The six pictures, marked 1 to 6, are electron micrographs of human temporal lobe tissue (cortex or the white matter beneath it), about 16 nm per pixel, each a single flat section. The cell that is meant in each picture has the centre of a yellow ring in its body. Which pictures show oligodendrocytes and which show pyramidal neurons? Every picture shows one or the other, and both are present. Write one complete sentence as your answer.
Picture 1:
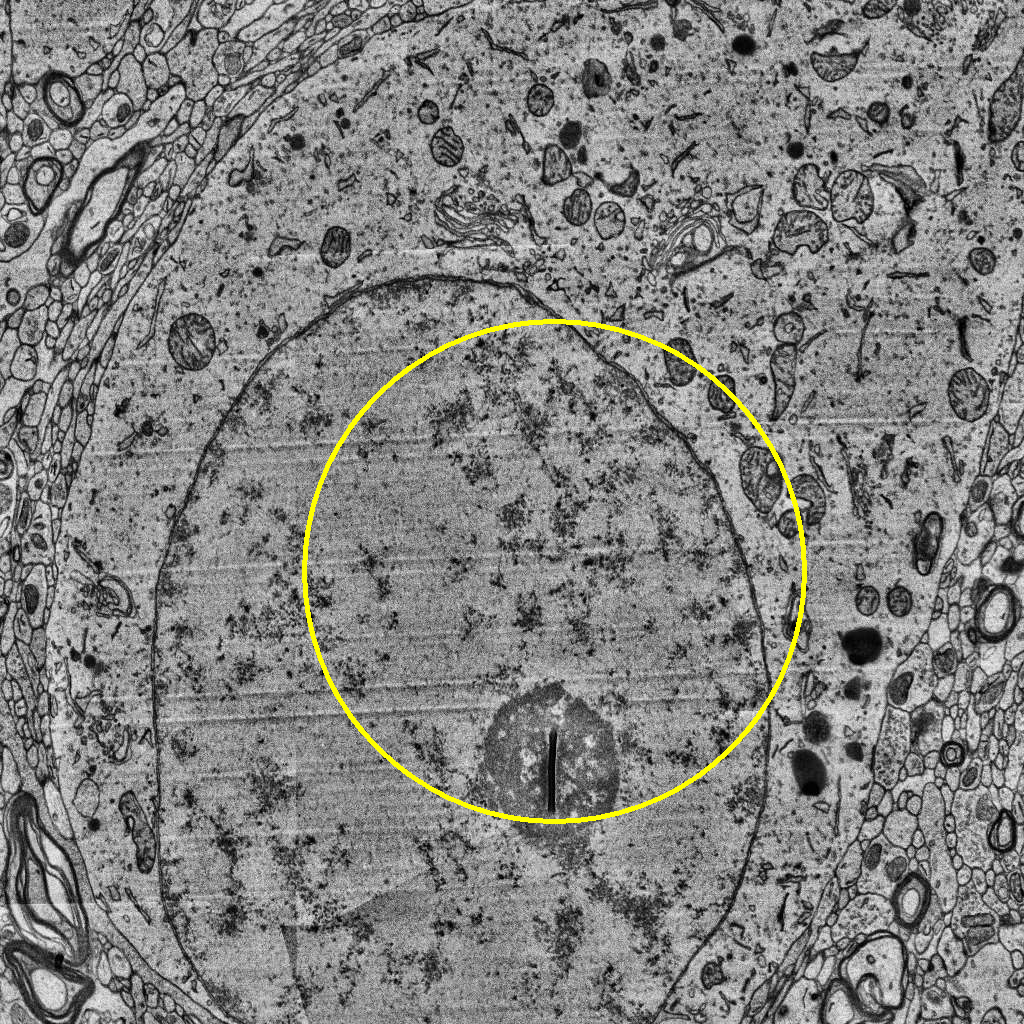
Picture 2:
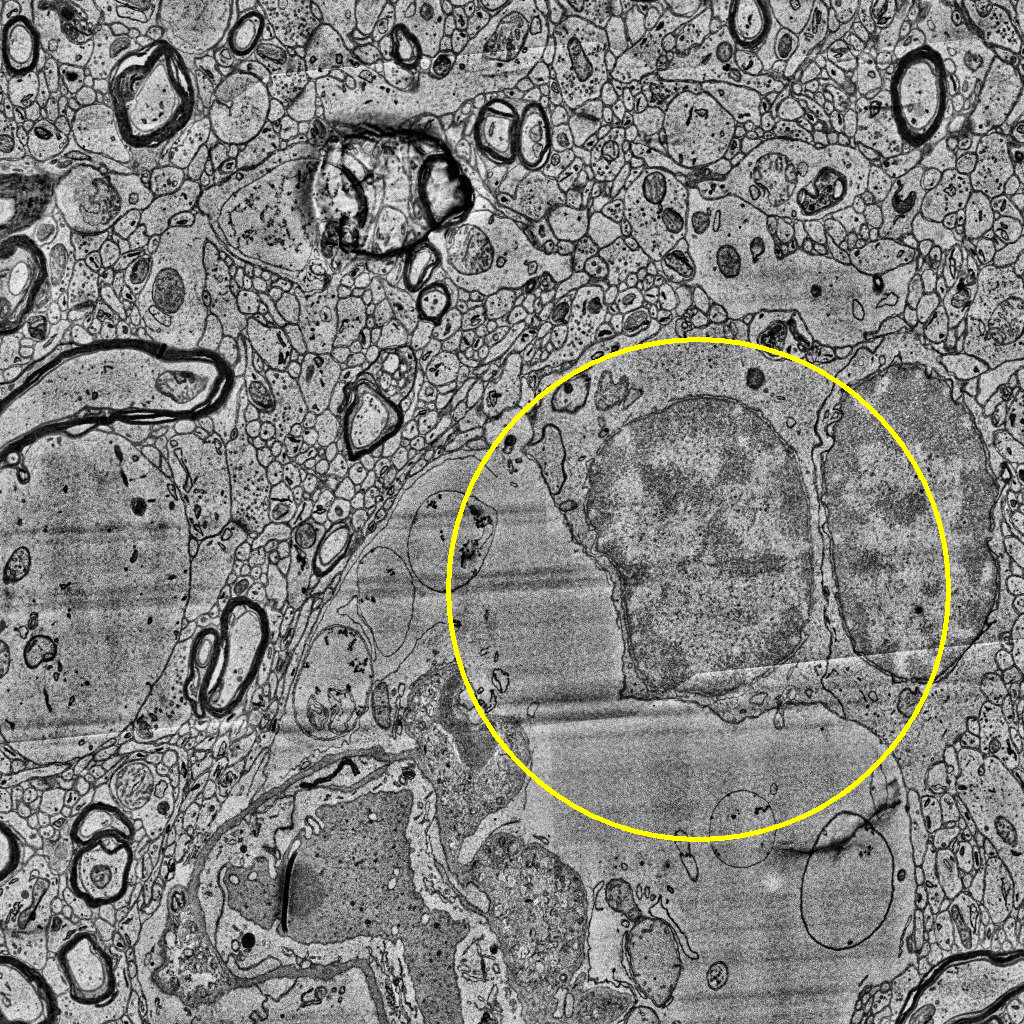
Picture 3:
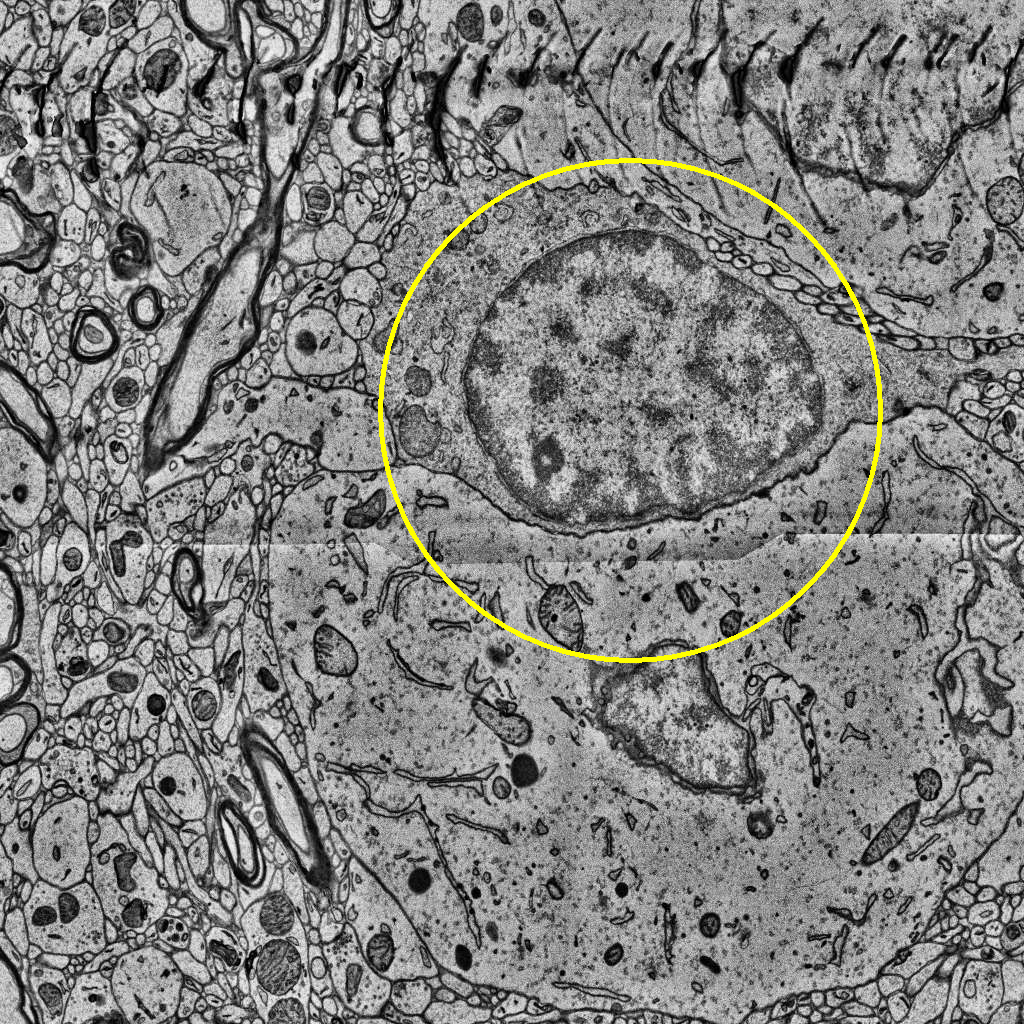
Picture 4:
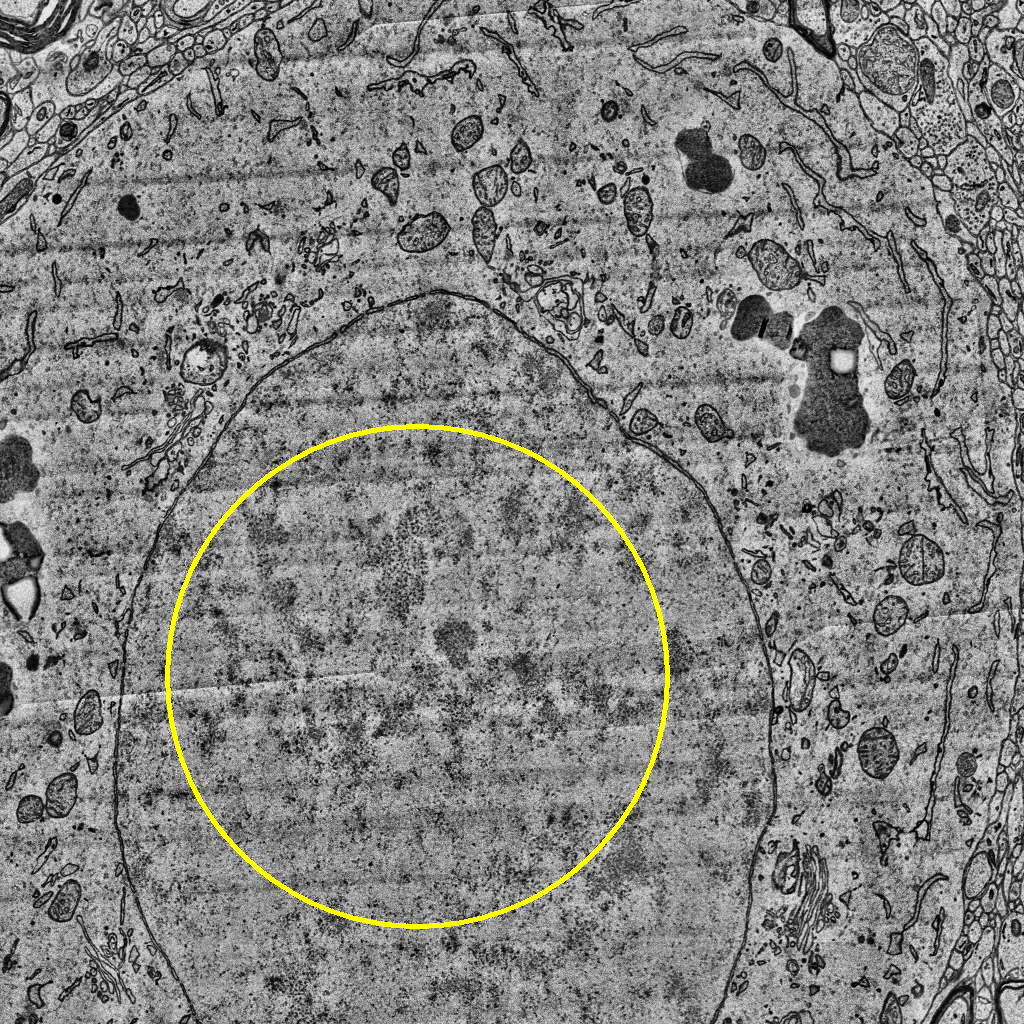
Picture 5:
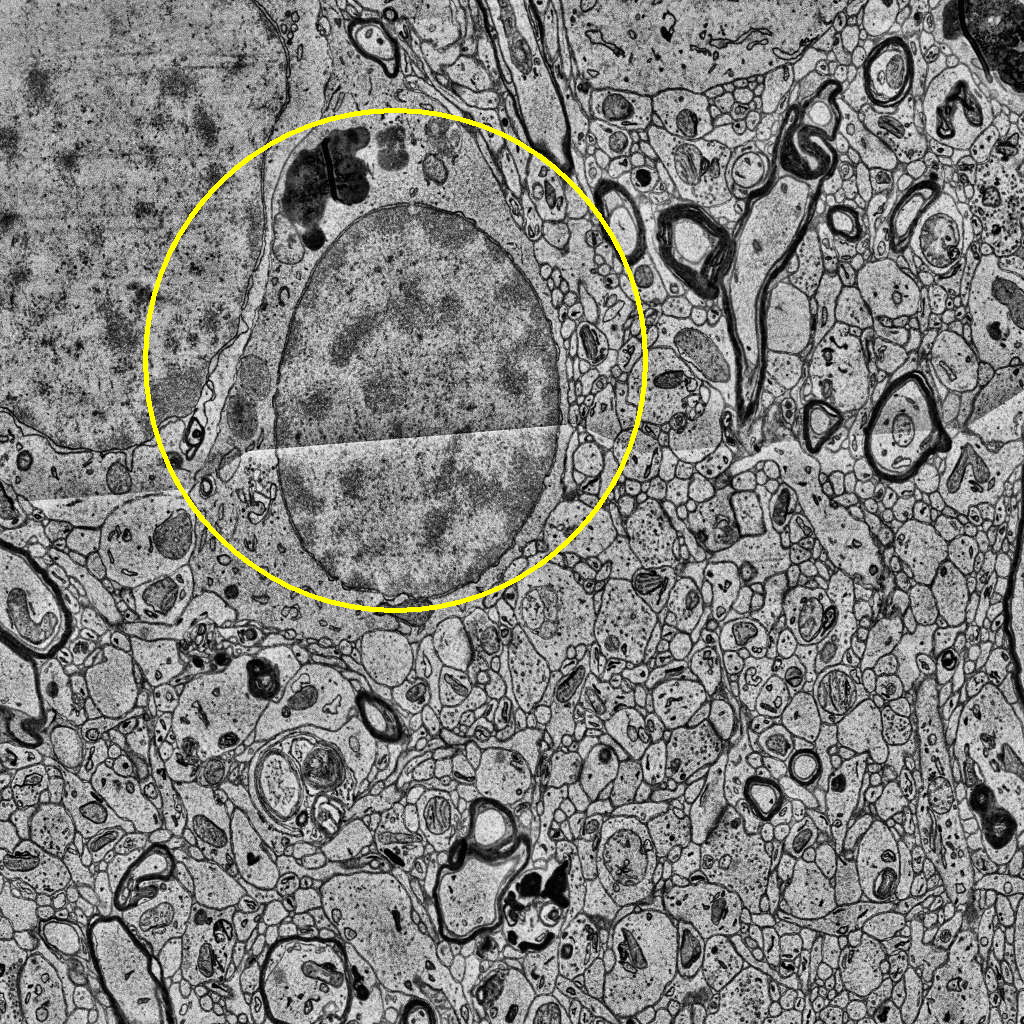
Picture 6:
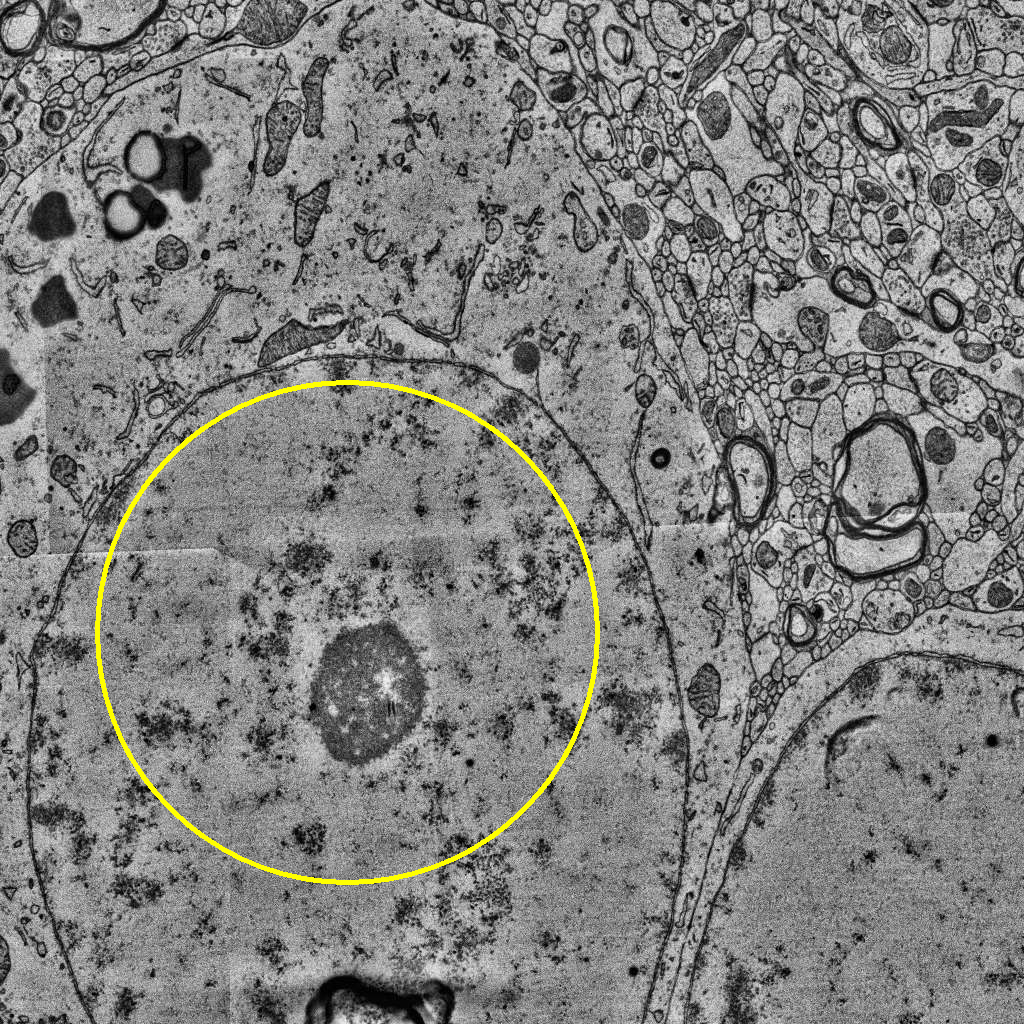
Pictures 2, 3 and 5 show oligodendrocytes, while pictures 1, 4 and 6 show pyramidal neurons.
